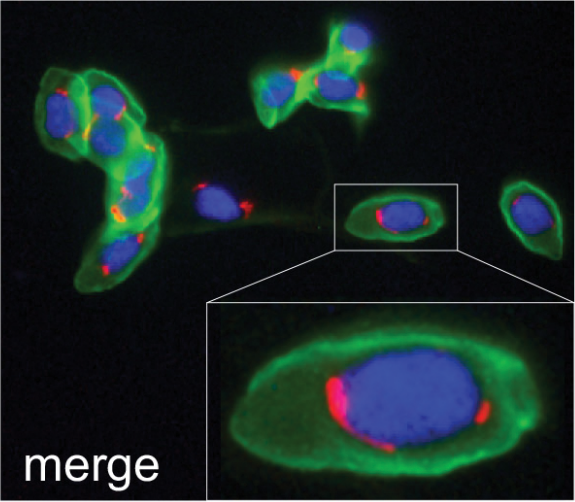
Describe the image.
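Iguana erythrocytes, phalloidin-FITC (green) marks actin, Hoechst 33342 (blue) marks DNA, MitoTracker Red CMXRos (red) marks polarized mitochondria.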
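A bright green rim traces the edge of each cell, with fainter green filling the cytoplasm between rim and nucleus. Small red dots and short curved red streaks lie in the cytoplasm right against the nucleus, few in number per cell. Some cells lie singly while others overlap in a cluster at the left, and faint green strands run between groups. The enlarged inset shows one cell with red crescents hugging the two ends of its nucleus.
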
